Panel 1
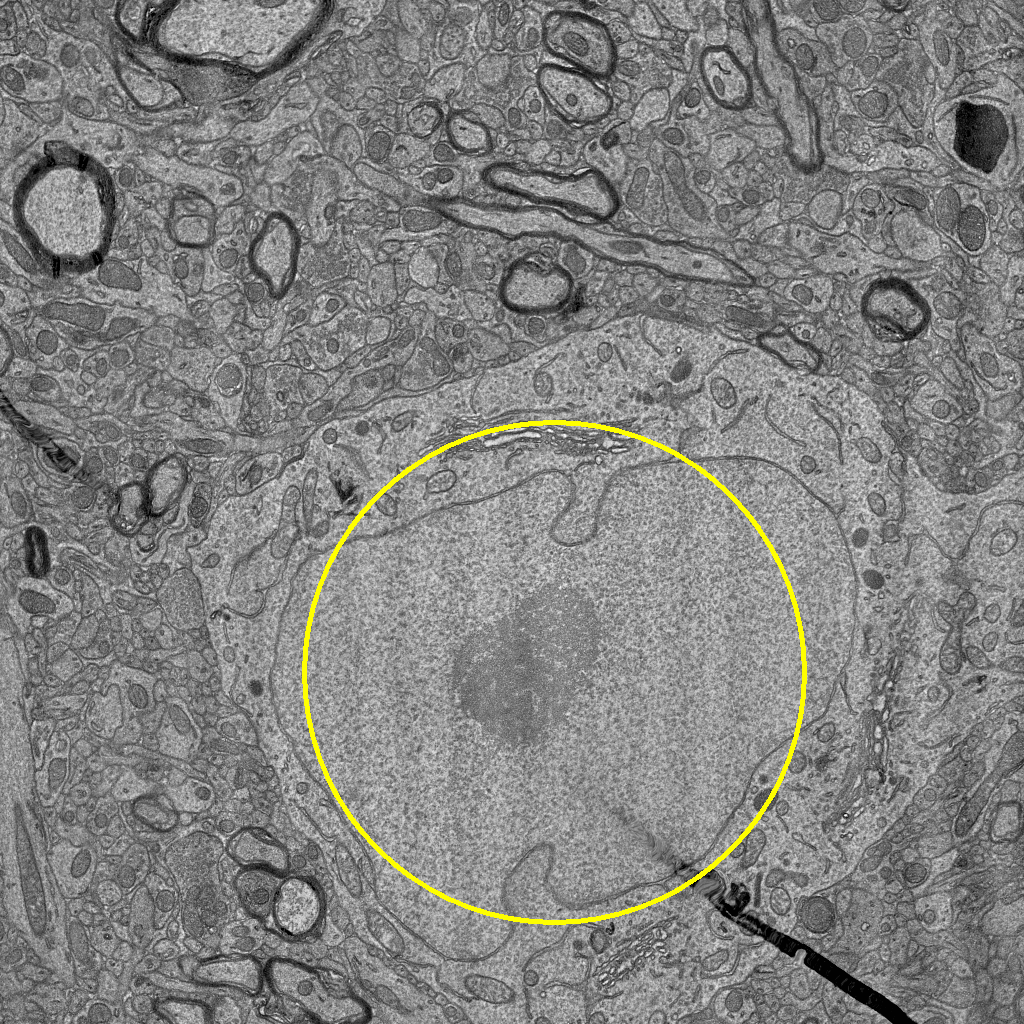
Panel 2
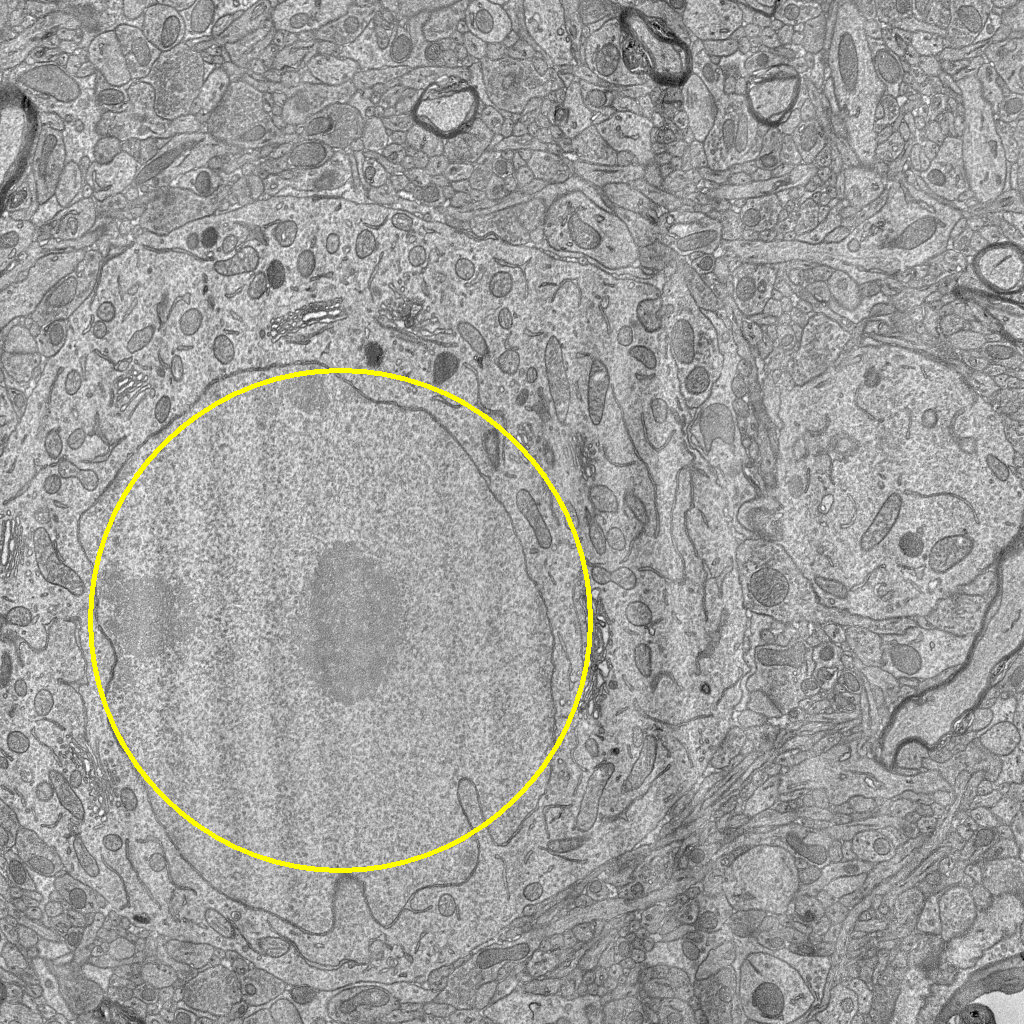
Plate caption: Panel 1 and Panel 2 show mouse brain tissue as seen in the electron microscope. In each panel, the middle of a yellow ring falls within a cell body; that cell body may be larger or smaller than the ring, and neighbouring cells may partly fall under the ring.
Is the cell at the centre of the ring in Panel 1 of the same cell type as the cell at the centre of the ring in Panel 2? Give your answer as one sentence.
Yes, the two cells are of the same type.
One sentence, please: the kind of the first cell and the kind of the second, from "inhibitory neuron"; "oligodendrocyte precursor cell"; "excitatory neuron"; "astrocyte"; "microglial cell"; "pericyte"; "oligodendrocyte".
Both cells are the same kind, each one being an inhibitory neuron.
